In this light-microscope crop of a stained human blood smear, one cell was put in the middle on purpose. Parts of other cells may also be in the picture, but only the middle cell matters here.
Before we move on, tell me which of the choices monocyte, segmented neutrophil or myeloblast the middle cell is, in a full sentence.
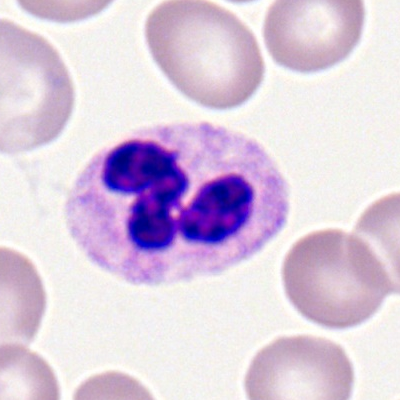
The middle position in this crop is taken by a segmented neutrophil.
